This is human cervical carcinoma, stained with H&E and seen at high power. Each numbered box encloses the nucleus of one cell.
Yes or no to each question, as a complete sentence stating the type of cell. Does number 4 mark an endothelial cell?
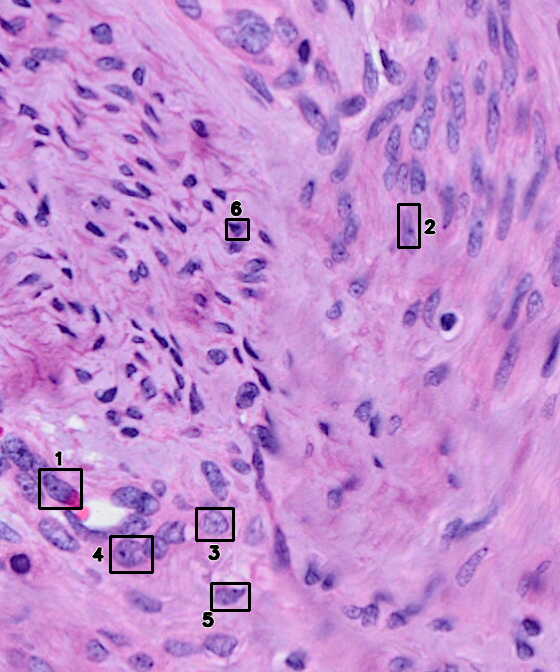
Yes, in this tissue section, number 4 is an endothelial cell.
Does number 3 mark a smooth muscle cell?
No, the cell carrying number 3 is an endothelial cell rather than a smooth muscle cell.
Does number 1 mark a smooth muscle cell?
No, cell 1, which is an endothelial cell, is not a smooth muscle cell.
